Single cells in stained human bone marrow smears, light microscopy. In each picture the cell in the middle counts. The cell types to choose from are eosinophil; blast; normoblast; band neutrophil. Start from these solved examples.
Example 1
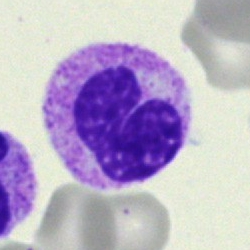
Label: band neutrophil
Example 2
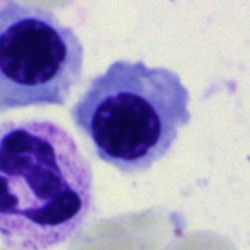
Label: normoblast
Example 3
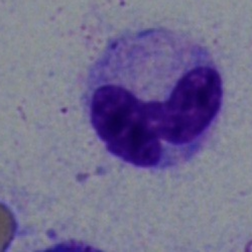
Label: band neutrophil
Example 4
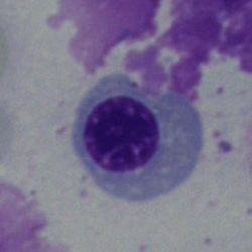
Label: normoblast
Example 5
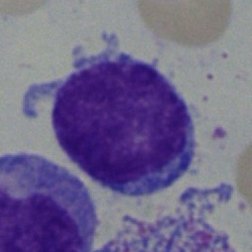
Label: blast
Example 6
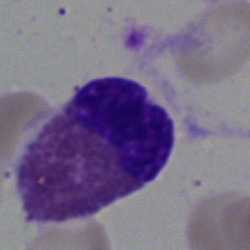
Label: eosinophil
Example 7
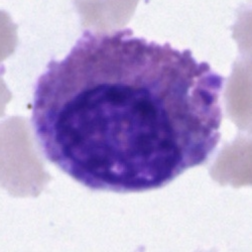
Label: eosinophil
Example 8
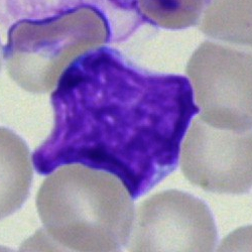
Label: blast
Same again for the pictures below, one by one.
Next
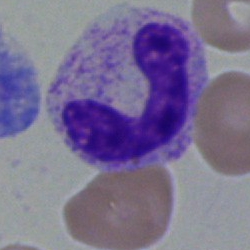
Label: band neutrophil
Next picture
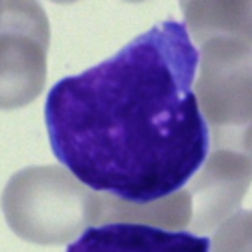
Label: blast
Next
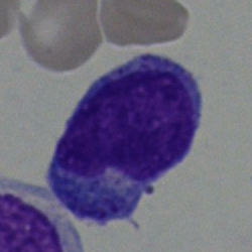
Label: blast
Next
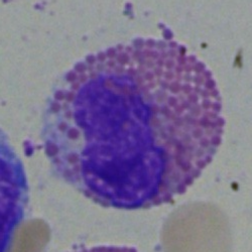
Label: eosinophil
